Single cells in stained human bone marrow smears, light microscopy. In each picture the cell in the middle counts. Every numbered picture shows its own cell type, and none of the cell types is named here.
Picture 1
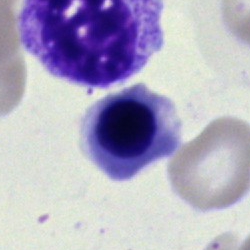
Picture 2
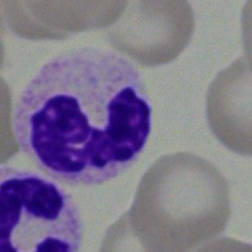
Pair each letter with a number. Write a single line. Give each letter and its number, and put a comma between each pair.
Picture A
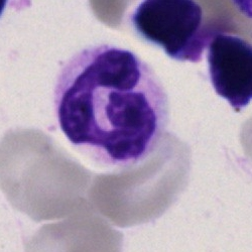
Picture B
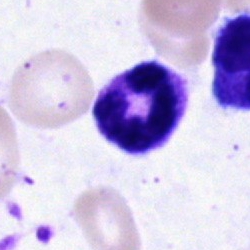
A 2, B 2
